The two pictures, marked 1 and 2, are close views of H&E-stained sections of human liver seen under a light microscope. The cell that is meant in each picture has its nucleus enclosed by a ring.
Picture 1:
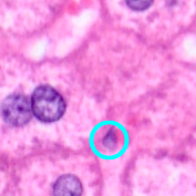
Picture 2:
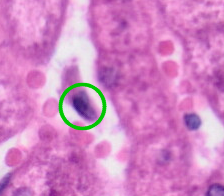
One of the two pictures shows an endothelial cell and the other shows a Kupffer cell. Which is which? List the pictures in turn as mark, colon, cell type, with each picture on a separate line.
1: endothelial cell
2: Kupffer cell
